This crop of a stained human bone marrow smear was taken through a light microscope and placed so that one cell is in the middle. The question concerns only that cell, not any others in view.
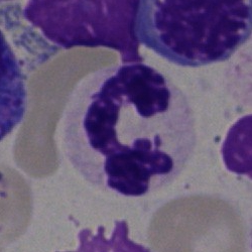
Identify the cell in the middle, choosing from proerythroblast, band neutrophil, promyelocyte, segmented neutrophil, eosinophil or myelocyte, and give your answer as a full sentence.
The cell centered in this field of view is a segmented neutrophil.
